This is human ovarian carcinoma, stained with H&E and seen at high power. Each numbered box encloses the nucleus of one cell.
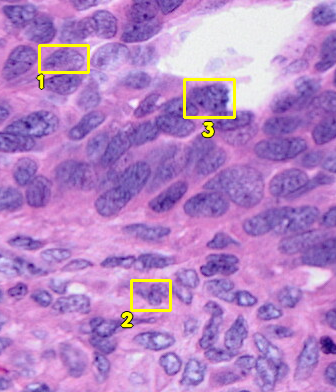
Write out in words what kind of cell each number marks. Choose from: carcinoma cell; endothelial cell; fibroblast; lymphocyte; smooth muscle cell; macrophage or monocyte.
Cell 1 is a carcinoma cell, cell 2 is a fibroblast and cell 3 is a carcinoma cell.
